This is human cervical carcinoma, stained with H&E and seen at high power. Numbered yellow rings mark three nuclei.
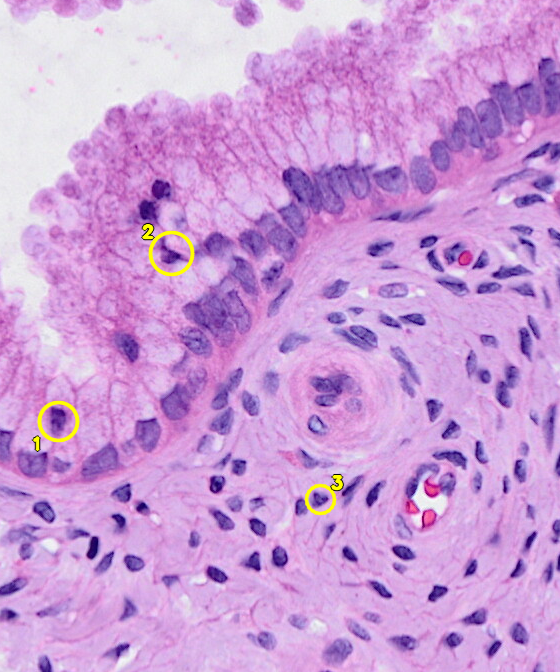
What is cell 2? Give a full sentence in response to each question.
In this section, the cell tagged 2 is a secretory epithelial cell.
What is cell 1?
The numbered cell 1 is identified here as a secretory epithelial cell.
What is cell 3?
The cell pointed out as number 3 is a fibroblast.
